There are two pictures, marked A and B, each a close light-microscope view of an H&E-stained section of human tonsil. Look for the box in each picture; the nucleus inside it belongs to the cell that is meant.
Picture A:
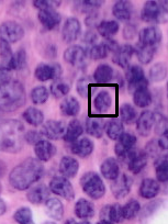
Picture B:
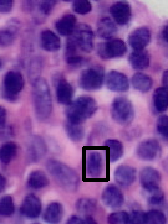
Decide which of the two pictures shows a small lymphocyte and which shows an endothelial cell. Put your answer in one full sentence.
Picture A is of a small lymphocyte, and picture B is of an endothelial cell.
